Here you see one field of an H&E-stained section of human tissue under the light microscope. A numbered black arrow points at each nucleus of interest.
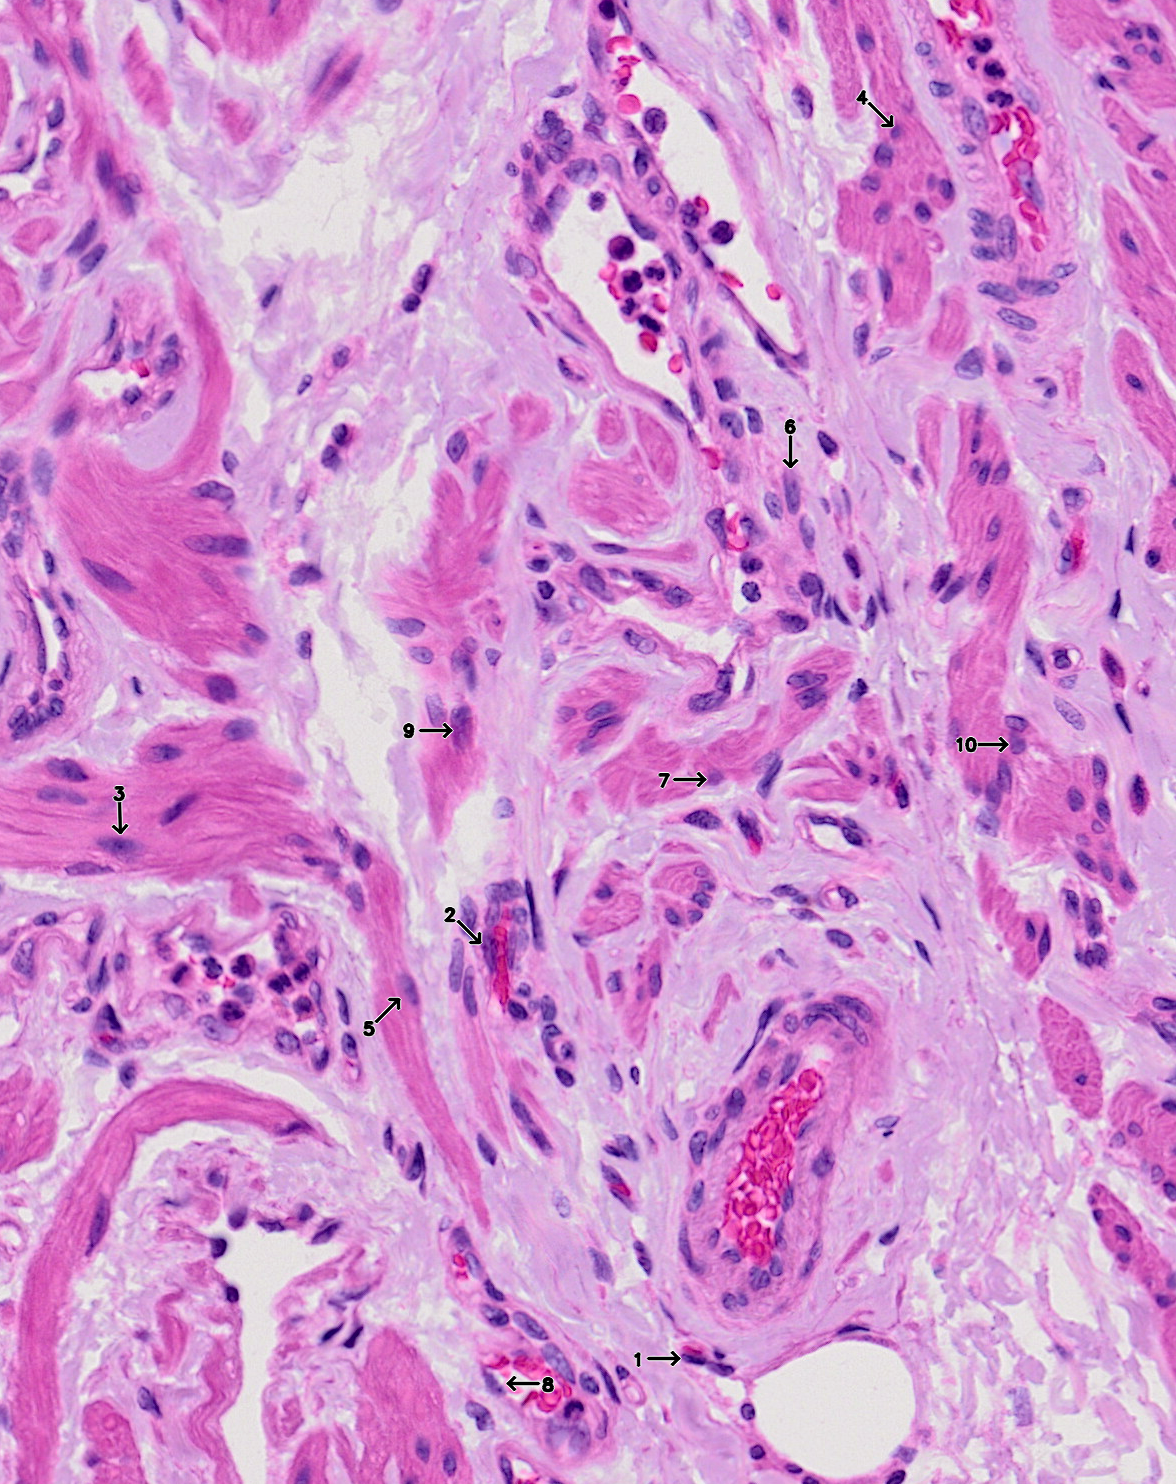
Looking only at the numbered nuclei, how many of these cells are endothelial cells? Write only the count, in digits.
4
